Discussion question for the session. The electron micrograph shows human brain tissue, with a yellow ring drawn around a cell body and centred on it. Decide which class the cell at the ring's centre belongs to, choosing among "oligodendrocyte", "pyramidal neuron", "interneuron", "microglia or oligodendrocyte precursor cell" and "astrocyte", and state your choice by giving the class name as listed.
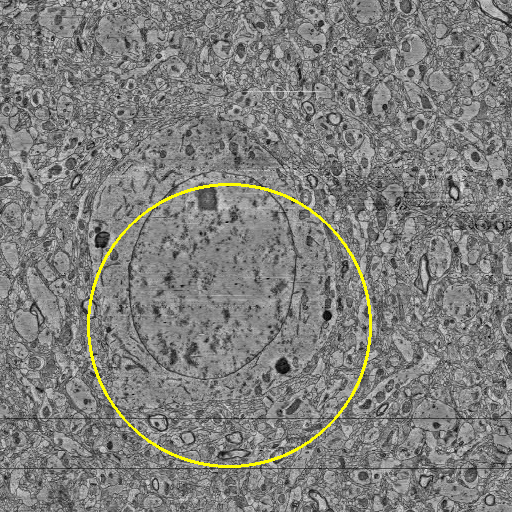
pyramidal neuron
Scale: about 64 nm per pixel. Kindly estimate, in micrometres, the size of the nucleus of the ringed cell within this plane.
About 14 by 11 micrometers, in this plane.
